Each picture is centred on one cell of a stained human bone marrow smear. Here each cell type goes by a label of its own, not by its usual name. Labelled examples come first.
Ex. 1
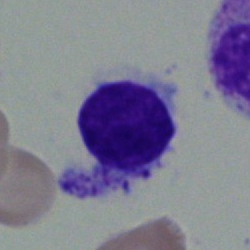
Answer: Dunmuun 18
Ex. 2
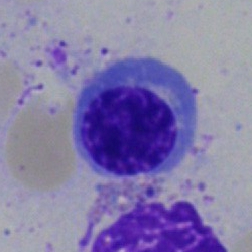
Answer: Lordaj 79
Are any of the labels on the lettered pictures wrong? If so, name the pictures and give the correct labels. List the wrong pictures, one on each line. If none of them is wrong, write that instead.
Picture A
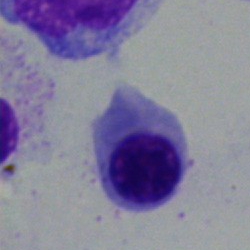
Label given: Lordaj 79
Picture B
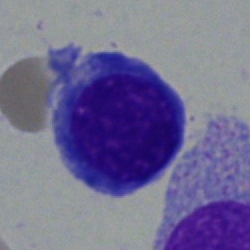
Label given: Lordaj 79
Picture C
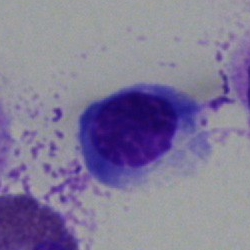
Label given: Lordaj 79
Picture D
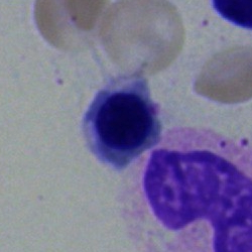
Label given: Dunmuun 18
Wrong: D (Dunmuun 18); correct: Lordaj 79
